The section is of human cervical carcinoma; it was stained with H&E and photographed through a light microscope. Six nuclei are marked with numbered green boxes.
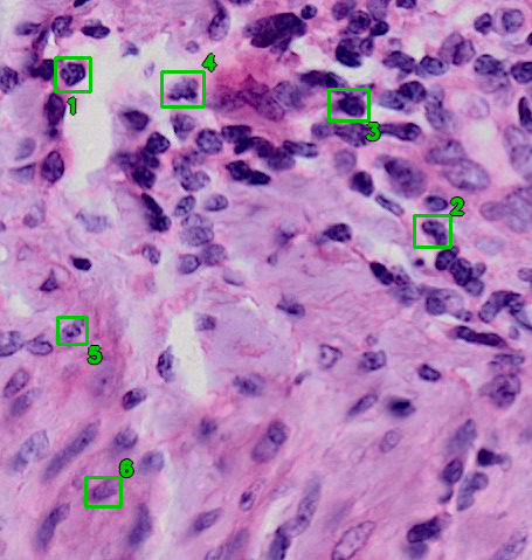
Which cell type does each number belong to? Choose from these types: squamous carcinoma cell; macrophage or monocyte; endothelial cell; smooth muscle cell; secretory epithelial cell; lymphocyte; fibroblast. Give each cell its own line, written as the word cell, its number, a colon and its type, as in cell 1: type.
cell 1: lymphocyte
cell 2: lymphocyte
cell 3: lymphocyte
cell 4: lymphocyte
cell 5: smooth muscle cell
cell 6: smooth muscle cell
